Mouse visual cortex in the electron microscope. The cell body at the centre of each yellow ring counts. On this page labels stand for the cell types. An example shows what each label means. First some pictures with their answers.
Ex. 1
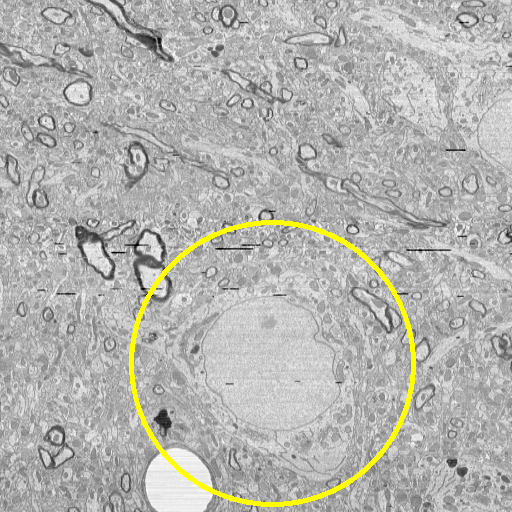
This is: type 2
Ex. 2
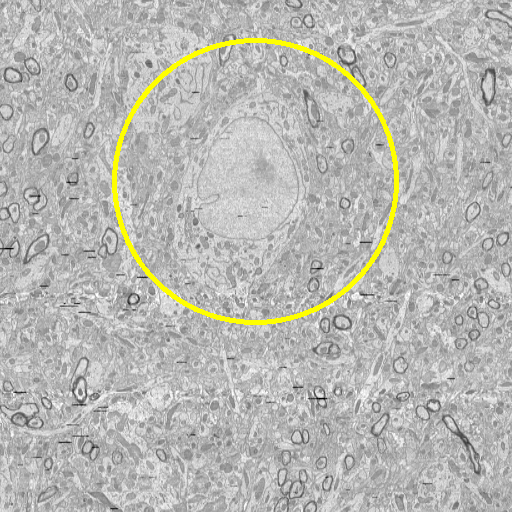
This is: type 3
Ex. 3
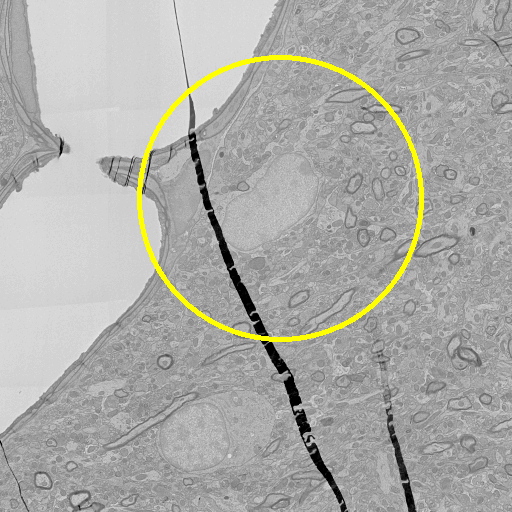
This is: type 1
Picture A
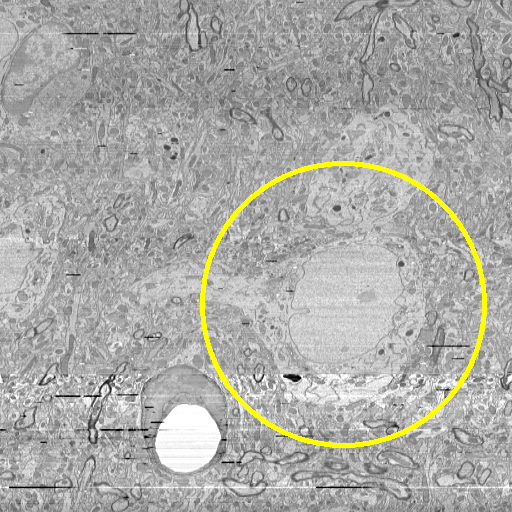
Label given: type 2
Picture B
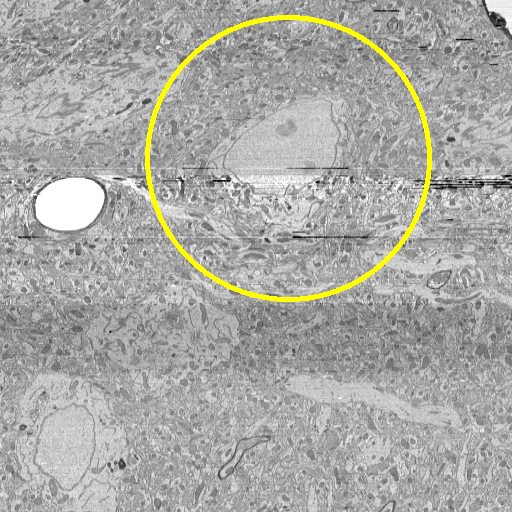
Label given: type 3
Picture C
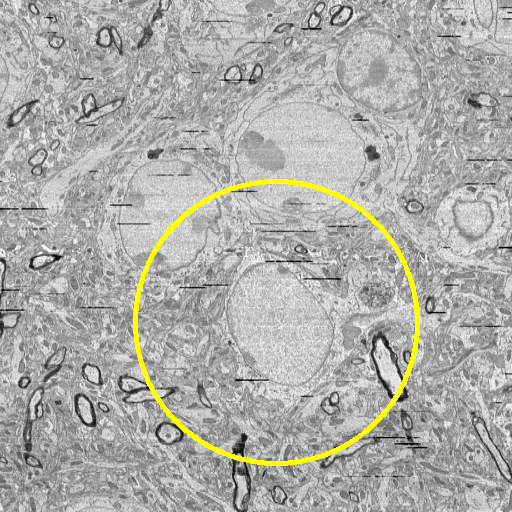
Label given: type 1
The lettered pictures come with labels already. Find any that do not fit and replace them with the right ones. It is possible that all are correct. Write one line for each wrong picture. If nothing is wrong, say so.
Wrong: B (type 3); correct: type 2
